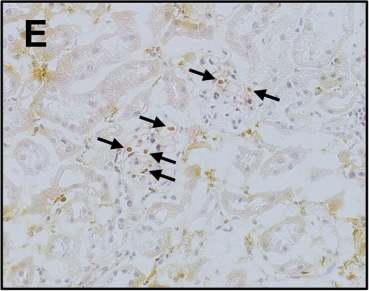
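Kidney cortex with a glomerulus near the centre: a rounded tuft of tightly packed bluish nuclei surrounded by cross-sections of tubules whose epithelium has pale, faintly tan cytoplasm and round nuclei, with clear lumens between. Within and around the tuft lie several small, compact, brown-stained cells, rounded or slightly irregular, standing out from the pale blue nuclei of the surrounding cells. Faint brown tinge also lines some tubules and the interstitium between them.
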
